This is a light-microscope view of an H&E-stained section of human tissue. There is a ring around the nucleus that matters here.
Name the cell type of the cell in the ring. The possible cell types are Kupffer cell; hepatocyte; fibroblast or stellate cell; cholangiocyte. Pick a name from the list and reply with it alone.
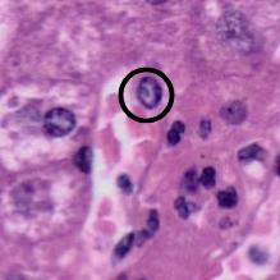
Kupffer cell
